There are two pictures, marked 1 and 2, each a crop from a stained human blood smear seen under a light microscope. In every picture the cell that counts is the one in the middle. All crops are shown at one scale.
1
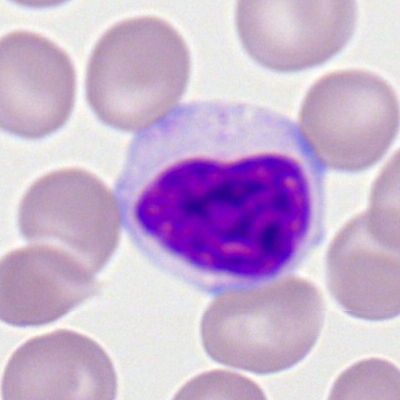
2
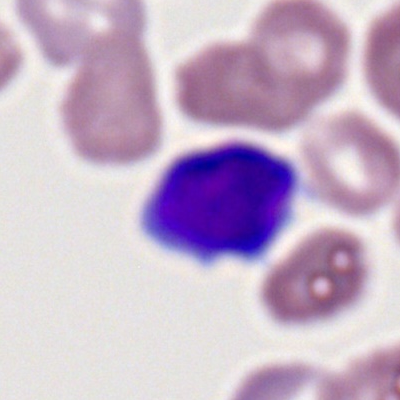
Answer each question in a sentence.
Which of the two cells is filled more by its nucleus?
In crop 2 the nucleus takes up the larger part of its cell.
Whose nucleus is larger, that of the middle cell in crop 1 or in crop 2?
Larger is the nucleus in crop 1, at roughly 1.5 times the area of the other.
